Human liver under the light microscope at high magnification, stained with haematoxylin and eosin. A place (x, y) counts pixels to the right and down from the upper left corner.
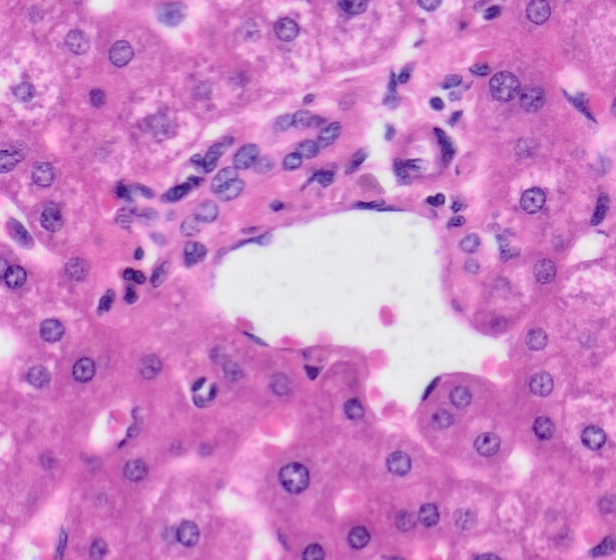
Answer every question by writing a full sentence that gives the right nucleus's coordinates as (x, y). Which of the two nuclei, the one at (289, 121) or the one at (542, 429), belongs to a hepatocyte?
The nucleus at (542, 429) is contained in a hepatocyte.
